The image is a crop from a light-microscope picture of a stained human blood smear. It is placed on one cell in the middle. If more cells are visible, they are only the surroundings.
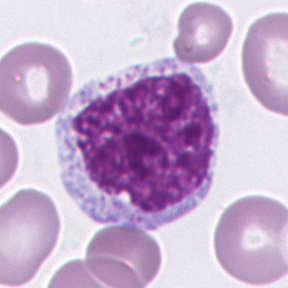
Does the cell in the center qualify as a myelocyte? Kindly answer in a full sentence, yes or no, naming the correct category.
Yes, in the centre of this field sits a myelocyte.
